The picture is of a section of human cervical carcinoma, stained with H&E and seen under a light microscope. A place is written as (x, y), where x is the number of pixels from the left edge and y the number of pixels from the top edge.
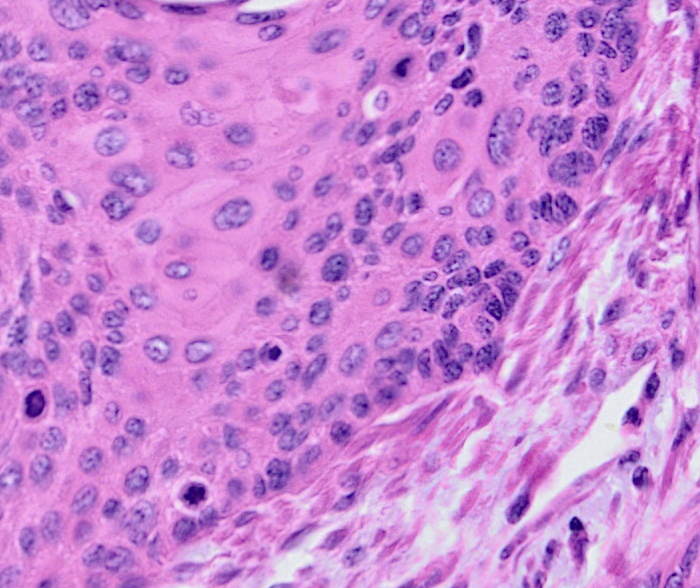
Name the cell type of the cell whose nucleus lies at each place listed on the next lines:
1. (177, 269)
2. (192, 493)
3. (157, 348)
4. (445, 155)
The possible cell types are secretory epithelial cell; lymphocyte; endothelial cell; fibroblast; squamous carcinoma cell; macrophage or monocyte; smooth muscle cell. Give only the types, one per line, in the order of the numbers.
squamous carcinoma cell
lymphocyte
squamous carcinoma cell
squamous carcinoma cell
